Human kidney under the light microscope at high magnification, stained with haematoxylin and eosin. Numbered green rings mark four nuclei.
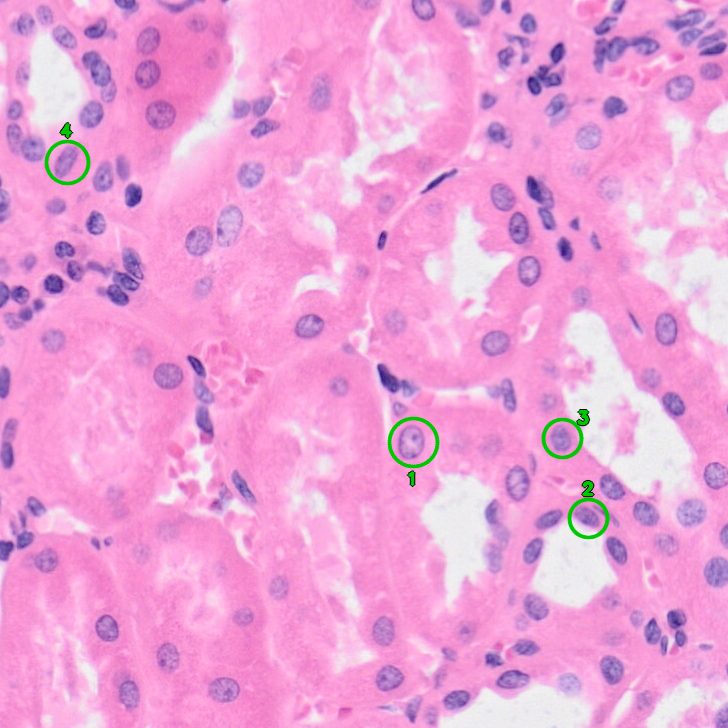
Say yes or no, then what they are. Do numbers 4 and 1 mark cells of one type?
No, cell 4 is a collecting duct cell, and cell 1, for its part, is a proximal tubule cell.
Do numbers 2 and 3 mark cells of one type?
Yes, the numbered cells 2 and 3 are both loop of Henle or distal tubule cells.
